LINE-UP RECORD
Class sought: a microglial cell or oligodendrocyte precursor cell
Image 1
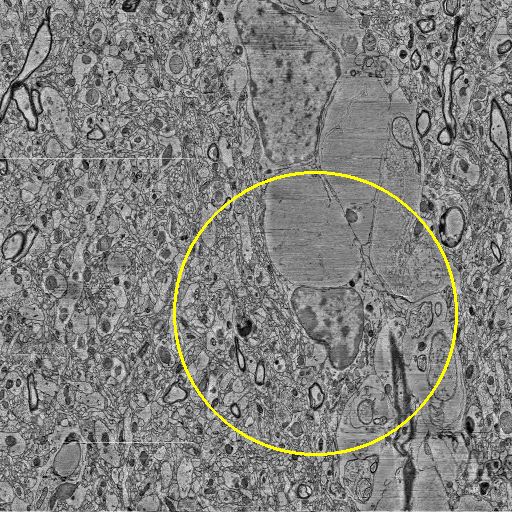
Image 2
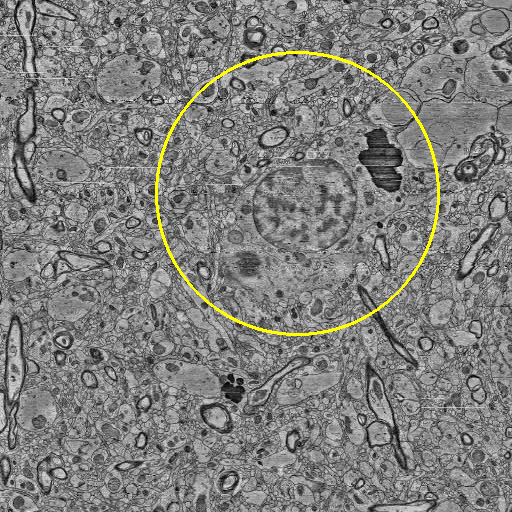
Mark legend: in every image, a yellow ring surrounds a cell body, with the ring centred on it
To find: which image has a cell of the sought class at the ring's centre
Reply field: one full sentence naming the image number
The ring-centred cell of image 1 belongs to the class sought.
